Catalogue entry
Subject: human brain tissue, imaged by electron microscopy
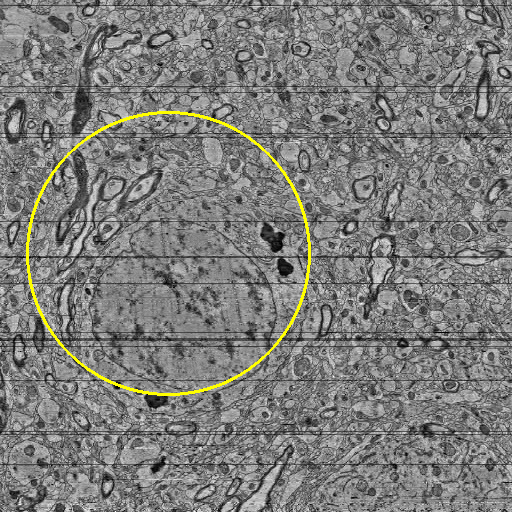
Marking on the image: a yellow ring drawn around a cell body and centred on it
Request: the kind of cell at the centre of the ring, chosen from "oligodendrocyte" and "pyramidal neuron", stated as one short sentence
The ring has a pyramidal neuron at its centre.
